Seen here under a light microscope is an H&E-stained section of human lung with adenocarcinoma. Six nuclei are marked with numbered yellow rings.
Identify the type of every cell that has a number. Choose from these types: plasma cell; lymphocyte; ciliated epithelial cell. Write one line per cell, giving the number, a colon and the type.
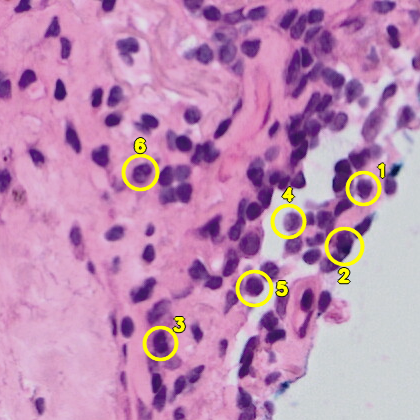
1: lymphocyte
2: lymphocyte
3: plasma cell
4: lymphocyte
5: lymphocyte
6: plasma cell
